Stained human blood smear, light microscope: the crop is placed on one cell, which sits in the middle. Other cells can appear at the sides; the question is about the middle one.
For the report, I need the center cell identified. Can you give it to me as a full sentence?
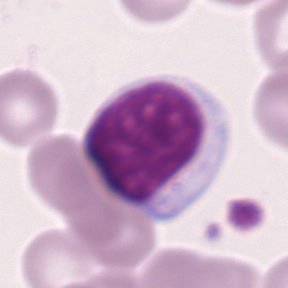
In the middle of this smear crop, the cell is a large granular lymphocyte.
